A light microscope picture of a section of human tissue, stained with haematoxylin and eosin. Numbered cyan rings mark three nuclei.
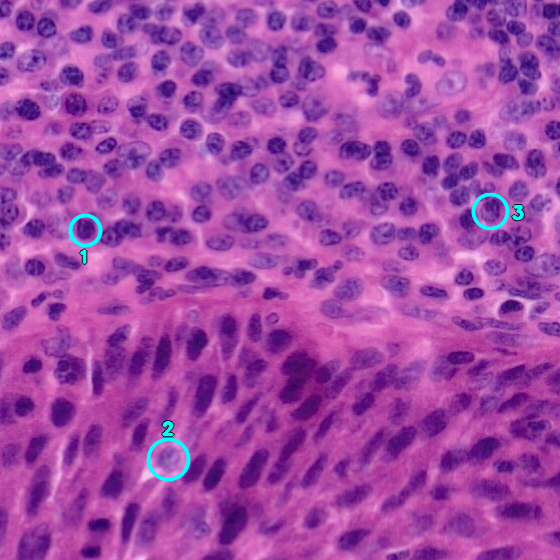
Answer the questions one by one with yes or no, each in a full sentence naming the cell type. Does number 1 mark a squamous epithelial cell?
No, in terms of cell type, cell 1 is a plasma cell, not a squamous epithelial cell.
